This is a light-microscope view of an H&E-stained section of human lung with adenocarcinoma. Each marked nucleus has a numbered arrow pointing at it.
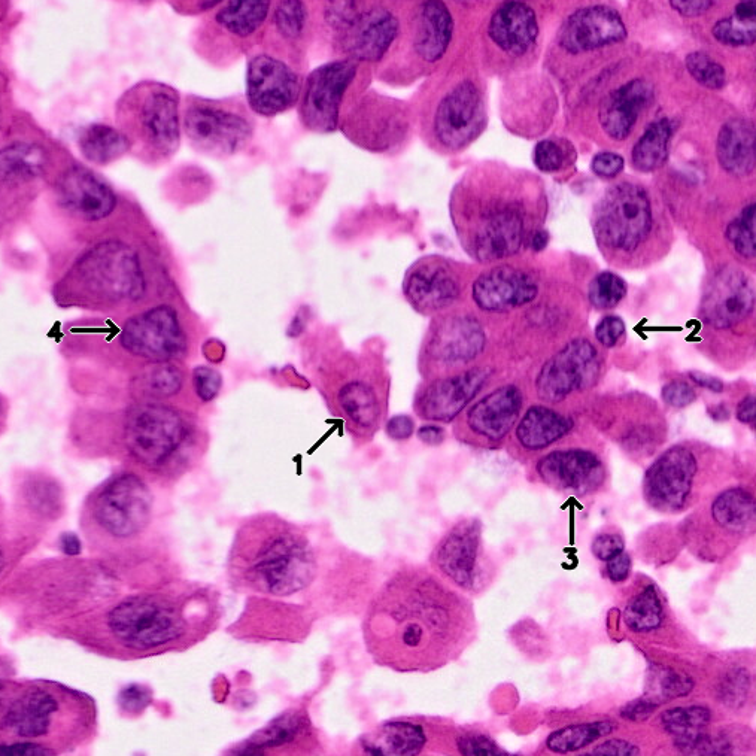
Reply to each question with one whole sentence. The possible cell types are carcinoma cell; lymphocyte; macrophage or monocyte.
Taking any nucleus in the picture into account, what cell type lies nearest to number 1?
The nearest nucleus to number 1 belongs to a lymphocyte.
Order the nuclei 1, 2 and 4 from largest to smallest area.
From largest to smallest, the order is 4, 1, 2.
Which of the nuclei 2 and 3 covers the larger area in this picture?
Number 3 is larger; its area is about 2.5 times that of number 2.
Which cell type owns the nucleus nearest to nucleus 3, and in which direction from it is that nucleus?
The nearest nucleus is that of a carcinoma cell and lies above and to the left of nucleus 3.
